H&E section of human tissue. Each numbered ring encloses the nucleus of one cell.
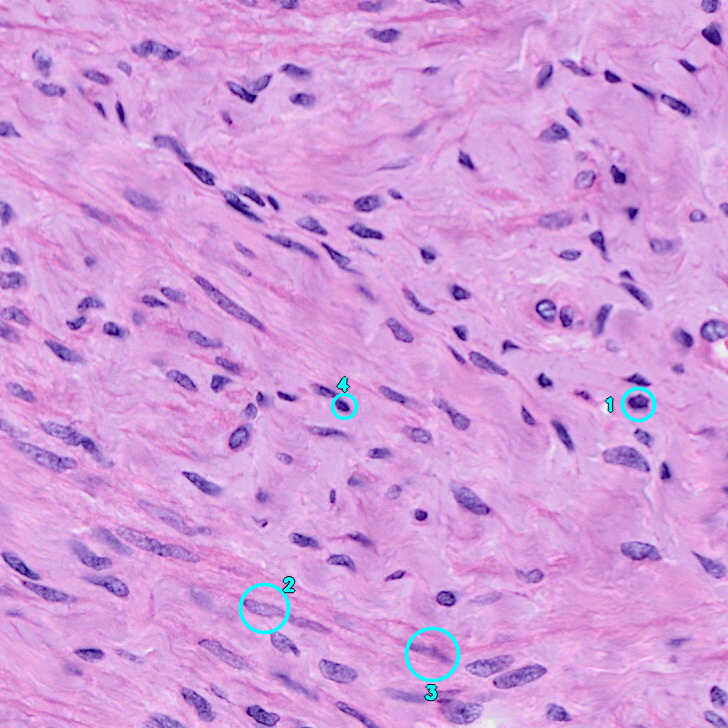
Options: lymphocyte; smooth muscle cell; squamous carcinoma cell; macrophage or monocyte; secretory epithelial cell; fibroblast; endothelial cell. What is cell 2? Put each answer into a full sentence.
Nucleus 2 in this section belongs to a smooth muscle cell.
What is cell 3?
The cell bearing label 3 corresponds to a smooth muscle cell.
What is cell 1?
The one labeled 1 is a fibroblast, to put it simply.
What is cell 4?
The correct label for cell 4 is a fibroblast.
